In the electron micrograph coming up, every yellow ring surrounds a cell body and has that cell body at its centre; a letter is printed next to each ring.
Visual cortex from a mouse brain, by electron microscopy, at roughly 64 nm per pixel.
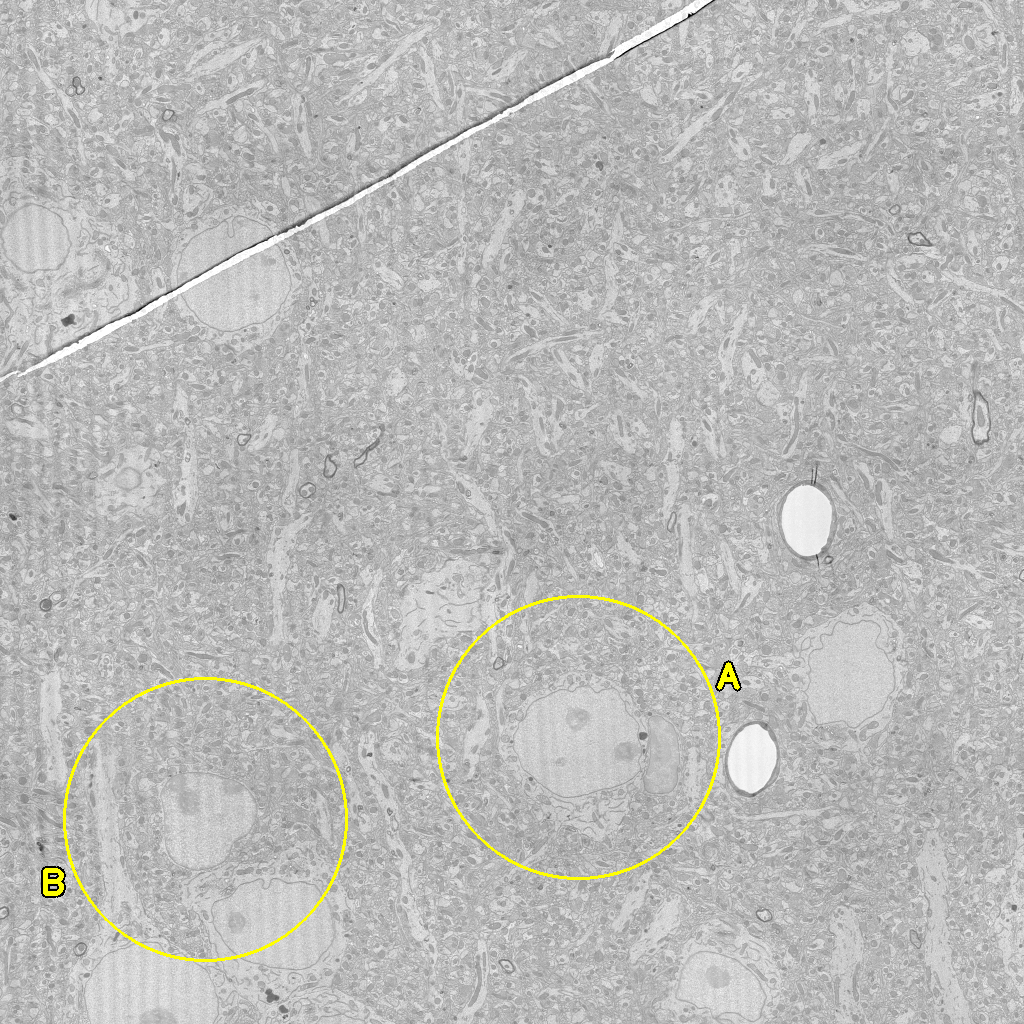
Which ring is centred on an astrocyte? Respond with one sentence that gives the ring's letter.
Ring B is the one whose centre sits on the cell asked for in the picture.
